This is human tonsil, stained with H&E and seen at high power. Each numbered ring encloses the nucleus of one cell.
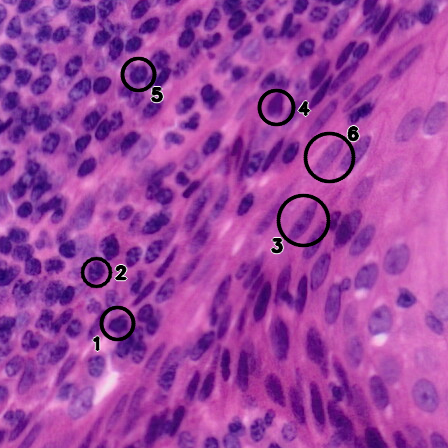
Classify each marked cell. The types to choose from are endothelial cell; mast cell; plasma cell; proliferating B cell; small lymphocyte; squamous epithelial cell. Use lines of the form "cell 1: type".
cell 1: plasma cell
cell 2: plasma cell
cell 3: squamous epithelial cell
cell 4: squamous epithelial cell
cell 5: plasma cell
cell 6: squamous epithelial cell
